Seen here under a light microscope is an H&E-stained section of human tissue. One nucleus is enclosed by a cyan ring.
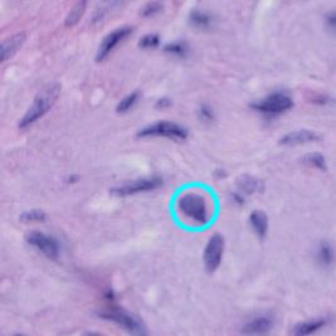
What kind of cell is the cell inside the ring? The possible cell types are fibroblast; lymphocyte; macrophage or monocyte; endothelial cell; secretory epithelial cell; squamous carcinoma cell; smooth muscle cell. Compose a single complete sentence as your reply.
The cell type of the cell inside the ring is that of a fibroblast.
